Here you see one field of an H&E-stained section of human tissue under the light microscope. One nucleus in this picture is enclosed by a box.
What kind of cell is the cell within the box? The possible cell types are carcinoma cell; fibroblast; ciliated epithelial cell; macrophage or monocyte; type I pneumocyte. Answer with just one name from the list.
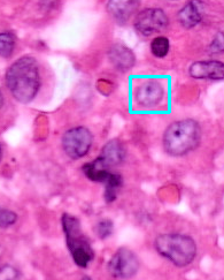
macrophage or monocyte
